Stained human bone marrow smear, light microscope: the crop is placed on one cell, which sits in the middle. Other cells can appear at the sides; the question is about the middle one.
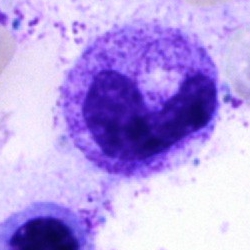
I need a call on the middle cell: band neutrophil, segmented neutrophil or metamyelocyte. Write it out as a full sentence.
Seen at the centre of the crop is a band neutrophil.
